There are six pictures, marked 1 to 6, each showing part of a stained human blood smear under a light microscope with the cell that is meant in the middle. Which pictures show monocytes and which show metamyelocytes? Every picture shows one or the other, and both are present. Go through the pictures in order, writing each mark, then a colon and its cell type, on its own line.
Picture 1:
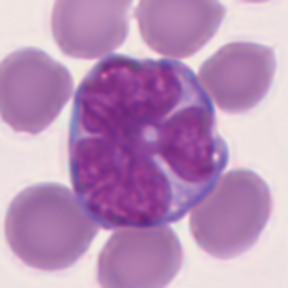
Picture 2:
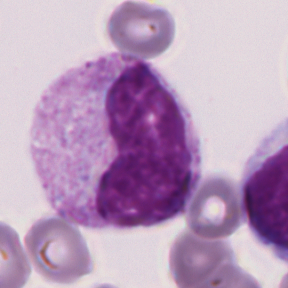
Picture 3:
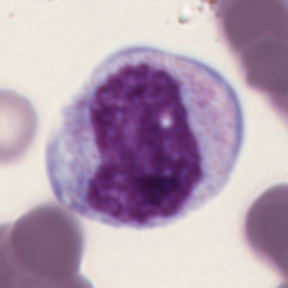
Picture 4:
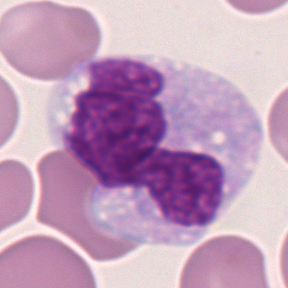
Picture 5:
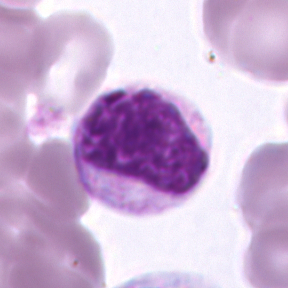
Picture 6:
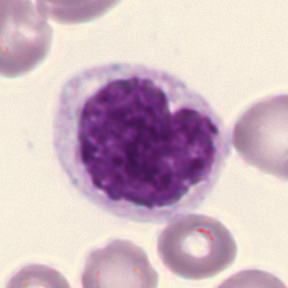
1: monocyte
2: metamyelocyte
3: metamyelocyte
4: monocyte
5: metamyelocyte
6: metamyelocyte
